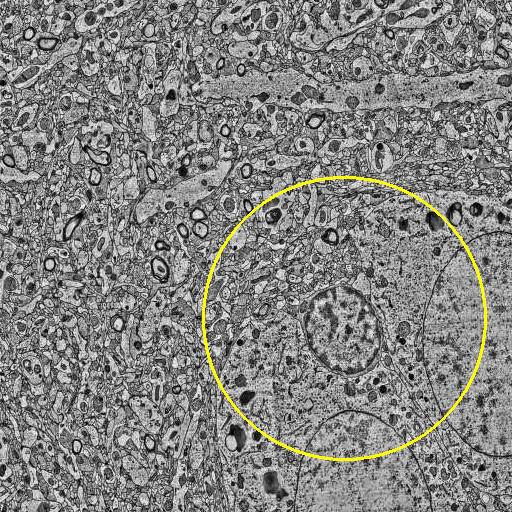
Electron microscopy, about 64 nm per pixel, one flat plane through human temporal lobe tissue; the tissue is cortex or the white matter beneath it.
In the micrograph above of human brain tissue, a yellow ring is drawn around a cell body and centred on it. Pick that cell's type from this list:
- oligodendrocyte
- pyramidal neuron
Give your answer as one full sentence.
Going by the list, an oligodendrocyte is the cell on which the yellow ring is centred.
